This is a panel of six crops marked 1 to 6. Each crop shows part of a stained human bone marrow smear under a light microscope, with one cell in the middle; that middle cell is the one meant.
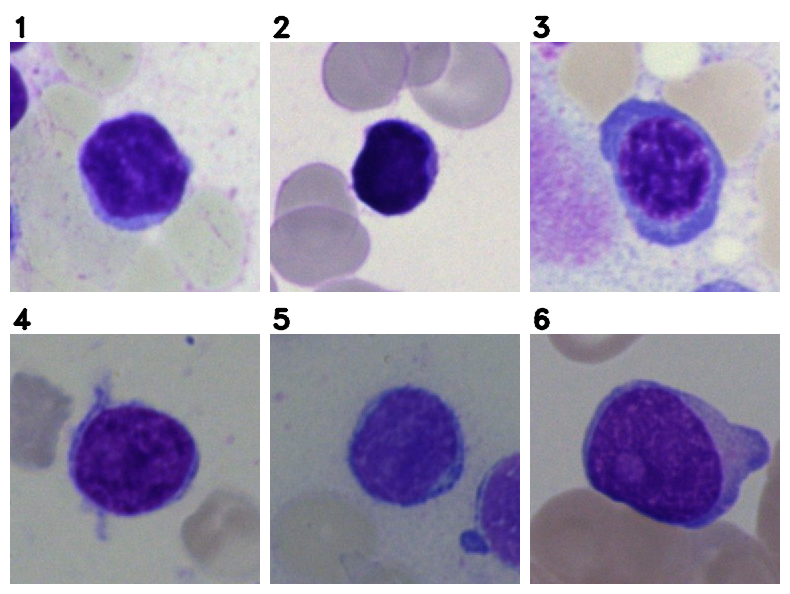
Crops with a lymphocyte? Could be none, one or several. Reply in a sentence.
Depicted at the centre of crops 1, 2, 4 and 5 are lymphocytes.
